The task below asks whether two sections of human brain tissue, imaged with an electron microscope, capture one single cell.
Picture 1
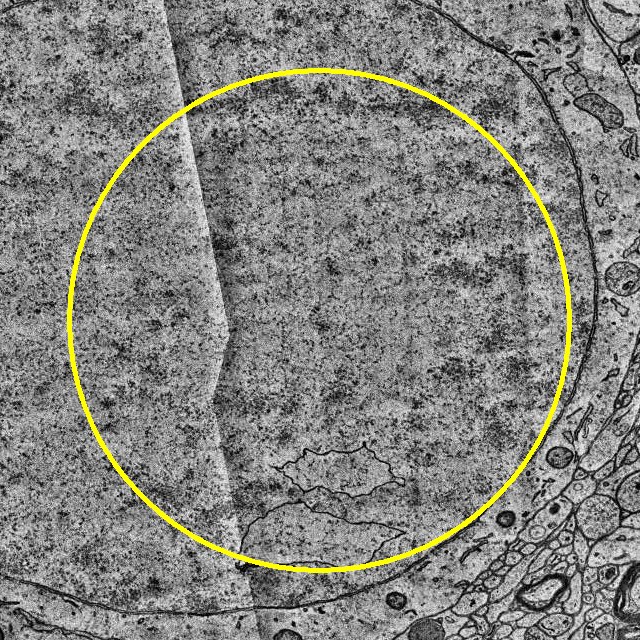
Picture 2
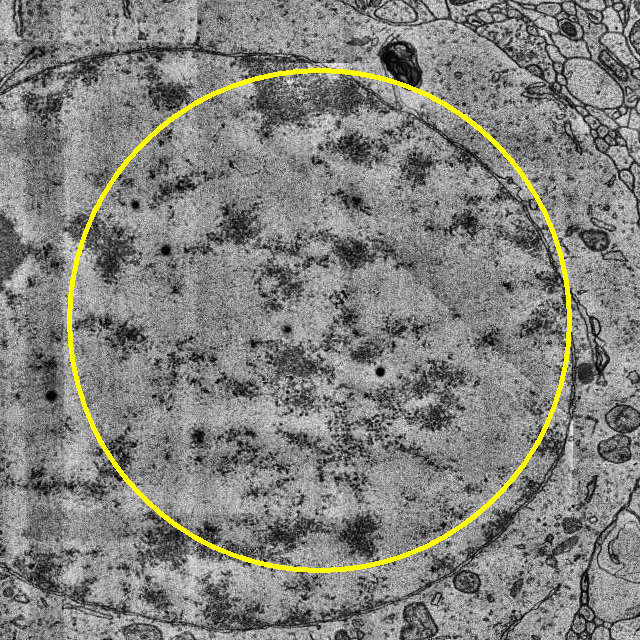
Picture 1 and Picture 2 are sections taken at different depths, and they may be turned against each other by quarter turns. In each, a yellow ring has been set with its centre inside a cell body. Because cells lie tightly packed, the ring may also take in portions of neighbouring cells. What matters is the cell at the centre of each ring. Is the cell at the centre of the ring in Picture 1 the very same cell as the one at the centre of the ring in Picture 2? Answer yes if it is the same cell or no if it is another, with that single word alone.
no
